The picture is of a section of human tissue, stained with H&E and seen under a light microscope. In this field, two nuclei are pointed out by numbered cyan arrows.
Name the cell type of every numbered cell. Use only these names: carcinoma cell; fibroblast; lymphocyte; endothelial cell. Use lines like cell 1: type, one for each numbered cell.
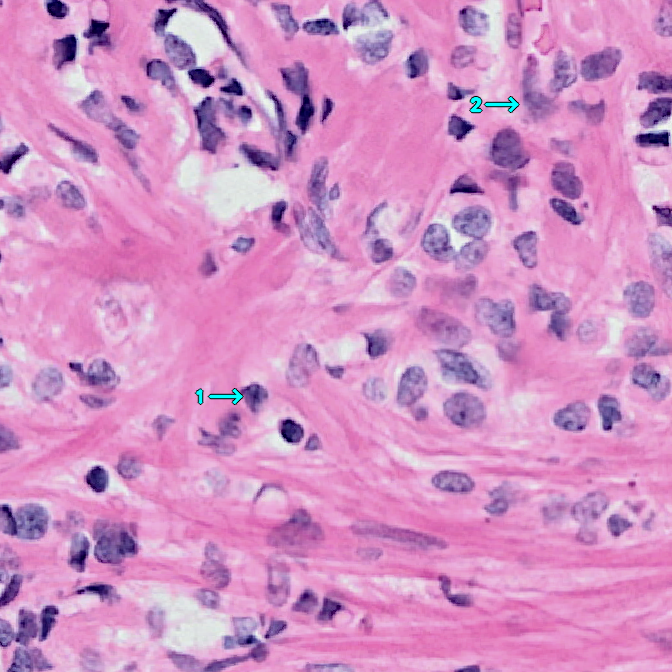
cell 1: lymphocyte
cell 2: endothelial cell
